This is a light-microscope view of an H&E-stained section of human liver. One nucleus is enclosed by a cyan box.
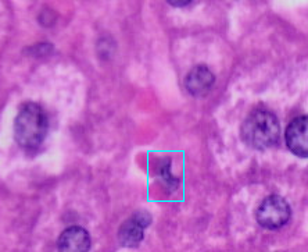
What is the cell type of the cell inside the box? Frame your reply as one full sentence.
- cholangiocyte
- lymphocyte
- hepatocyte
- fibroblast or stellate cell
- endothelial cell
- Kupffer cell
Just put down that the cell inside the box is an endothelial cell.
